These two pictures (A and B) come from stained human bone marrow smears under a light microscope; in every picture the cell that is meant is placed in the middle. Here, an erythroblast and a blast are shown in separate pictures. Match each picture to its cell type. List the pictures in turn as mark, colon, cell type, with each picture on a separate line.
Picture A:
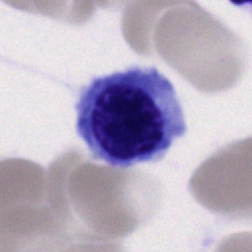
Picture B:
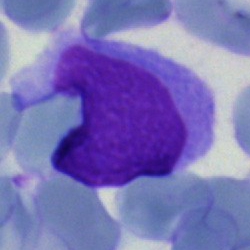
A: erythroblast
B: blast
